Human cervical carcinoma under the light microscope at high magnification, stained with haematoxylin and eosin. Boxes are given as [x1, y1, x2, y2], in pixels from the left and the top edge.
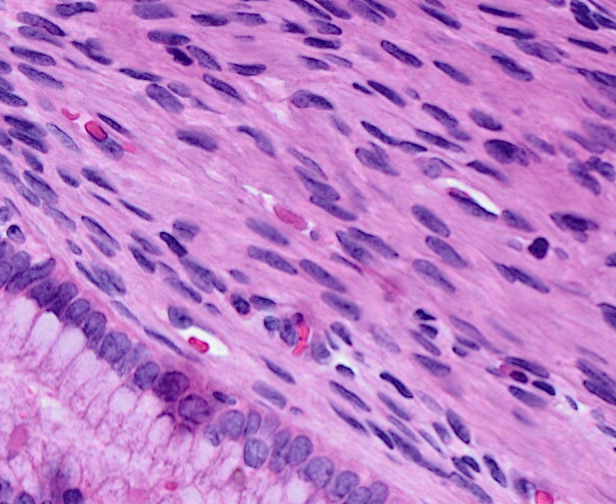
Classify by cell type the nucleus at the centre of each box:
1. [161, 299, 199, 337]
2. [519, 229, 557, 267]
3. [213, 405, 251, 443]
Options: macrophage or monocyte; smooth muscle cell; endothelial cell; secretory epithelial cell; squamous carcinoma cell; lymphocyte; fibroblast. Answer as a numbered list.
1. endothelial cell
2. lymphocyte
3. secretory epithelial cell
